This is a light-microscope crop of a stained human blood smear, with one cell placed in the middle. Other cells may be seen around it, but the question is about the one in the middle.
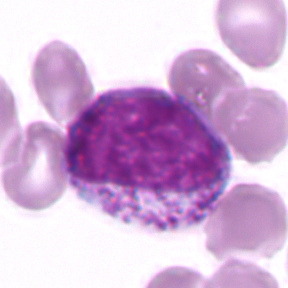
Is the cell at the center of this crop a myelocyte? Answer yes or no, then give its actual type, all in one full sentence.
No, the centrally located cell is a metamyelocyte rather than a myelocyte.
